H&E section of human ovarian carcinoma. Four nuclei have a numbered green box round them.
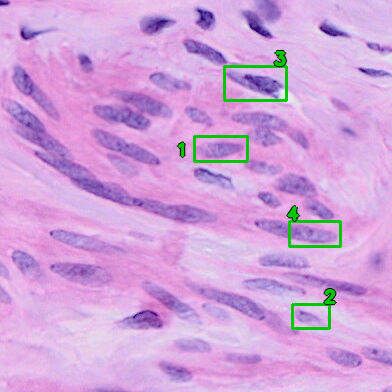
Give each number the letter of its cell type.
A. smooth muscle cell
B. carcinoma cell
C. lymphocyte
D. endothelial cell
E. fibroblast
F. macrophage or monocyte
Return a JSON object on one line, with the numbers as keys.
{"1": "A", "2": "A", "3": "E", "4": "A"}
